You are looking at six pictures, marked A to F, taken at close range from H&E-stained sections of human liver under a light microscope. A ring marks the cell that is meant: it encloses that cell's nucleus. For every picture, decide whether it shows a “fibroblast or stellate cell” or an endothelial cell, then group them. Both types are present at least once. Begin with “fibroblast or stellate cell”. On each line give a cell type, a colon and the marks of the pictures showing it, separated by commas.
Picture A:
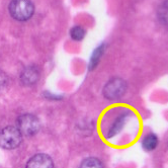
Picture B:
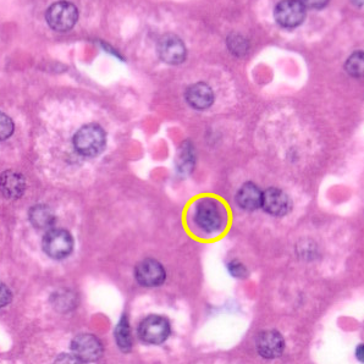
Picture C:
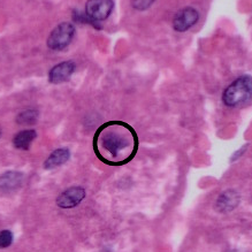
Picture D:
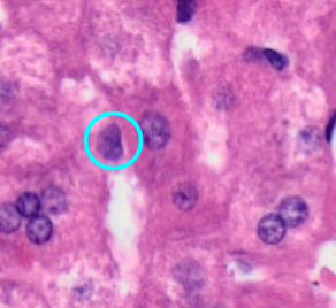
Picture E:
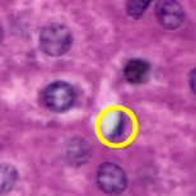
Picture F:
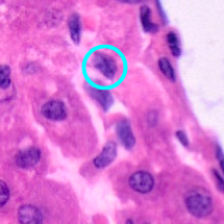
fibroblast or stellate cell: B, F
endothelial cell: A, C, D, E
